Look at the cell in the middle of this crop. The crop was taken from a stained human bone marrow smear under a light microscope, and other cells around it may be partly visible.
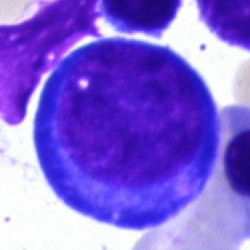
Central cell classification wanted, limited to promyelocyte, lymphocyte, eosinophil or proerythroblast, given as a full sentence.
To answer, the cell in the center of the crop is a proerythroblast.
